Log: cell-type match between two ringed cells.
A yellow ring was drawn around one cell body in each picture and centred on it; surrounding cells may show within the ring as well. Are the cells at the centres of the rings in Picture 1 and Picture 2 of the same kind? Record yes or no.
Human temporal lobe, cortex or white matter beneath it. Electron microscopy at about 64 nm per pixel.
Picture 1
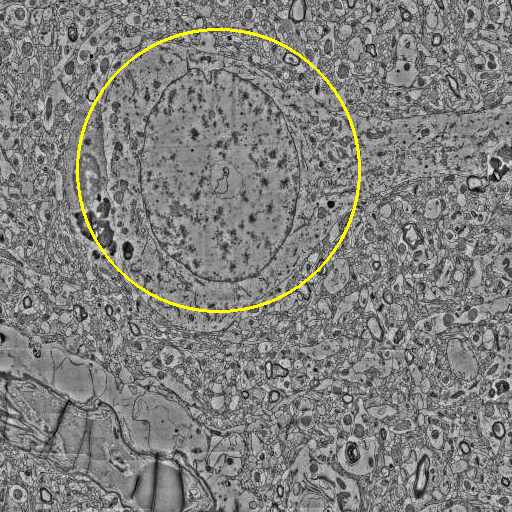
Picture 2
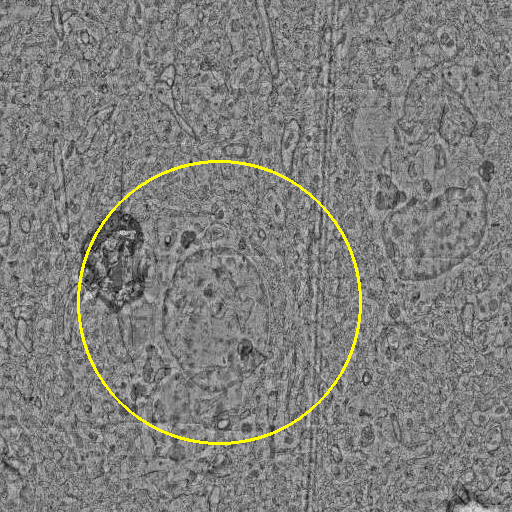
no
